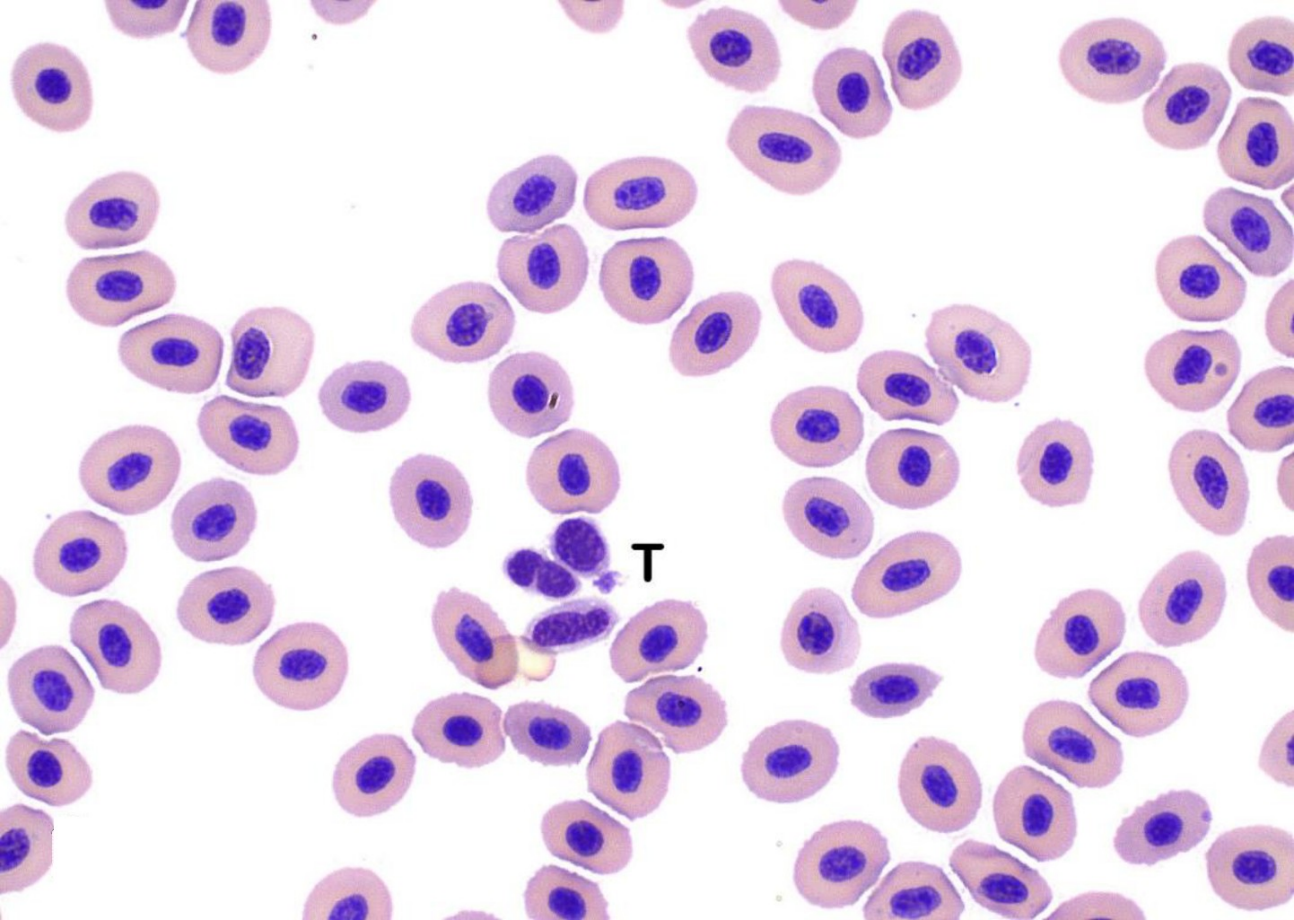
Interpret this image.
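This is a blood smear of a vertebrate with nucleated red cells. Near the centre, a small aggregate of thrombocytes lies among the red cells. The thrombocytes are small cells, oval to elongate, and smaller than the red cells around them. Their nuclei are dark purple with clumped chromatin and differ in shape from cell to cell. Each nucleus fills much of its cell, leaving only a thin rim of pale, nearly clear cytoplasm. A small purple fragment lies beside the cluster. The many red cells are oval, with pink-orange cytoplasm and a central oval purple nucleus.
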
